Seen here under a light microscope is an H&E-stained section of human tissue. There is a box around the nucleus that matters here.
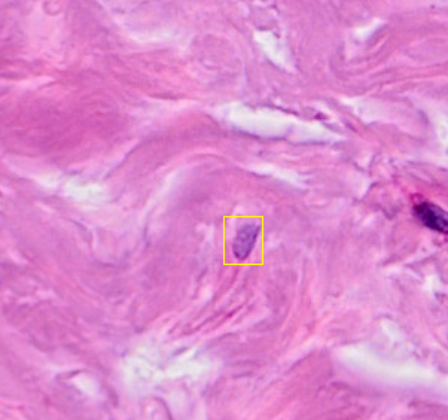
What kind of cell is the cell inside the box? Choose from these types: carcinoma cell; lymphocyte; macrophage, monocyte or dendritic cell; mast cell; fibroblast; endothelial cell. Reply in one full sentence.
In cell-type terms, the cell inside the box is a fibroblast.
